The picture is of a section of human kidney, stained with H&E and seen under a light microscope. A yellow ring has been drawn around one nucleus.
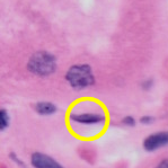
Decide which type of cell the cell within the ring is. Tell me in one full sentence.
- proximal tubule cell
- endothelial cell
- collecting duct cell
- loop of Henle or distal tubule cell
Just put down that the cell within the ring is an endothelial cell.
